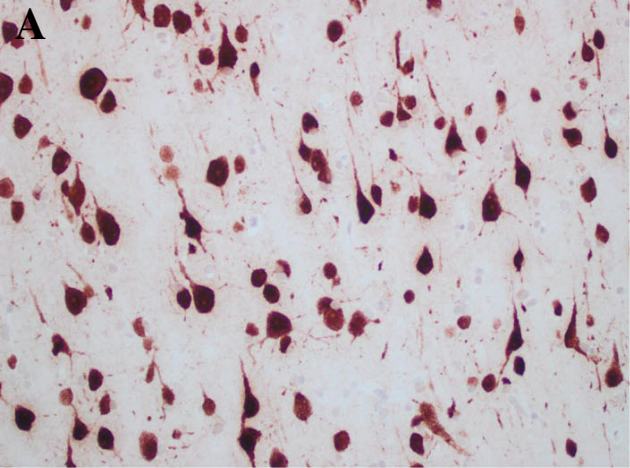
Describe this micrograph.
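Many are pyramidal, with a tapering apical process and thin brown processes extending from the soma; some stained cells are rounder and paler. Small unstained nuclei of other cells lie scattered between the stained neurons.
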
